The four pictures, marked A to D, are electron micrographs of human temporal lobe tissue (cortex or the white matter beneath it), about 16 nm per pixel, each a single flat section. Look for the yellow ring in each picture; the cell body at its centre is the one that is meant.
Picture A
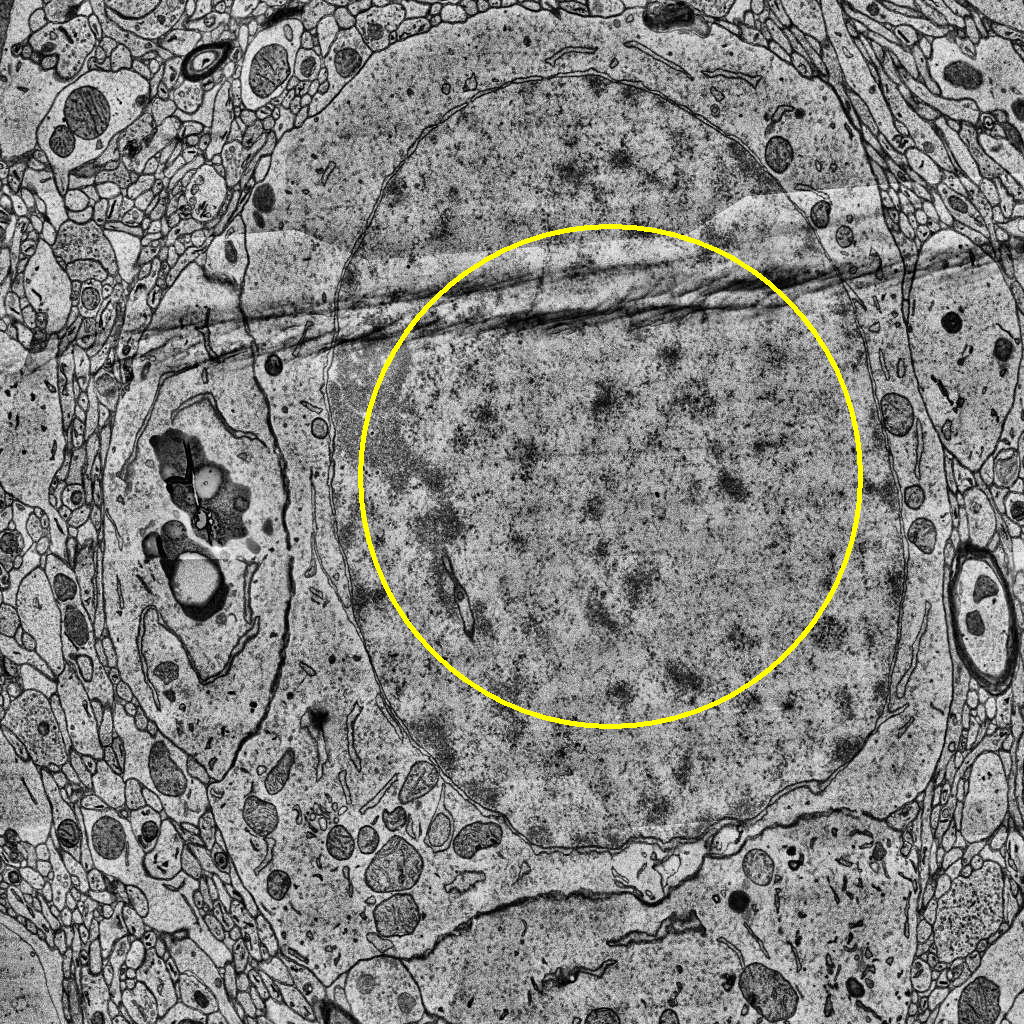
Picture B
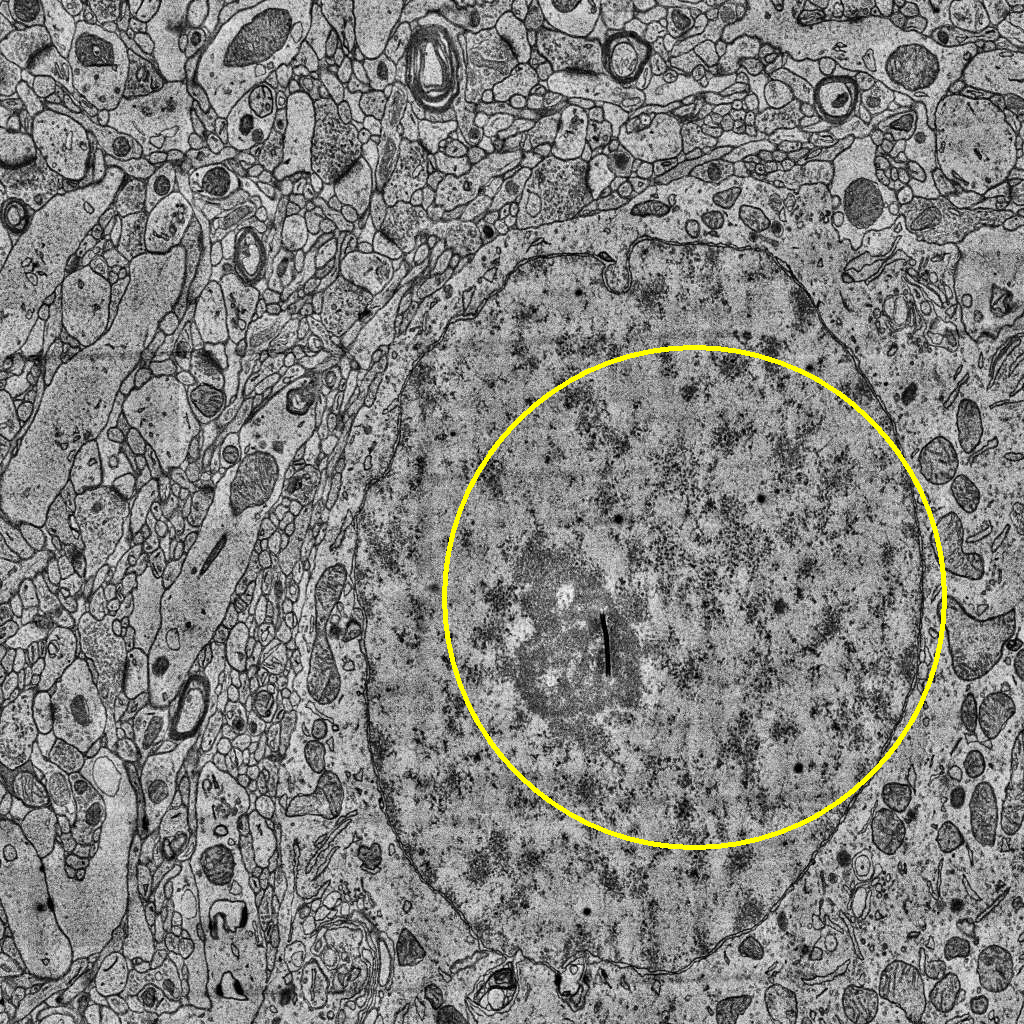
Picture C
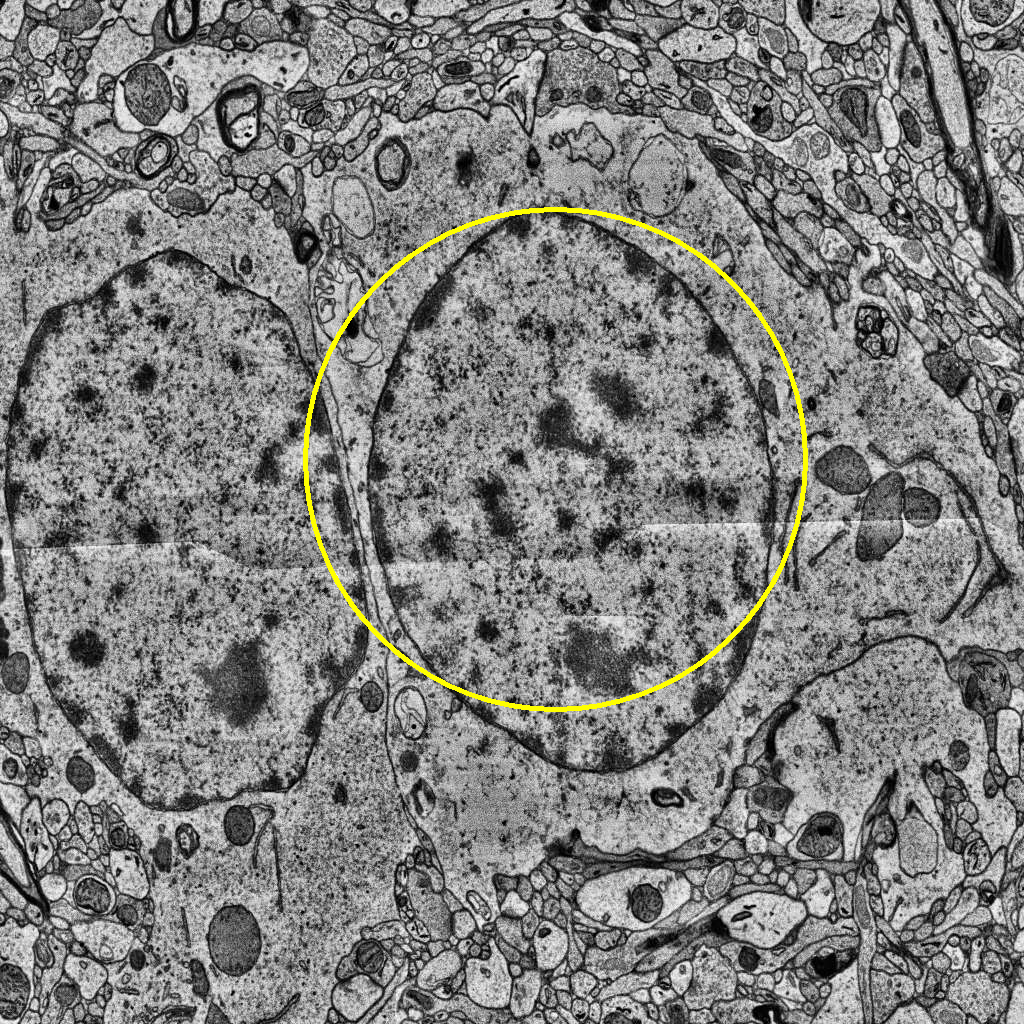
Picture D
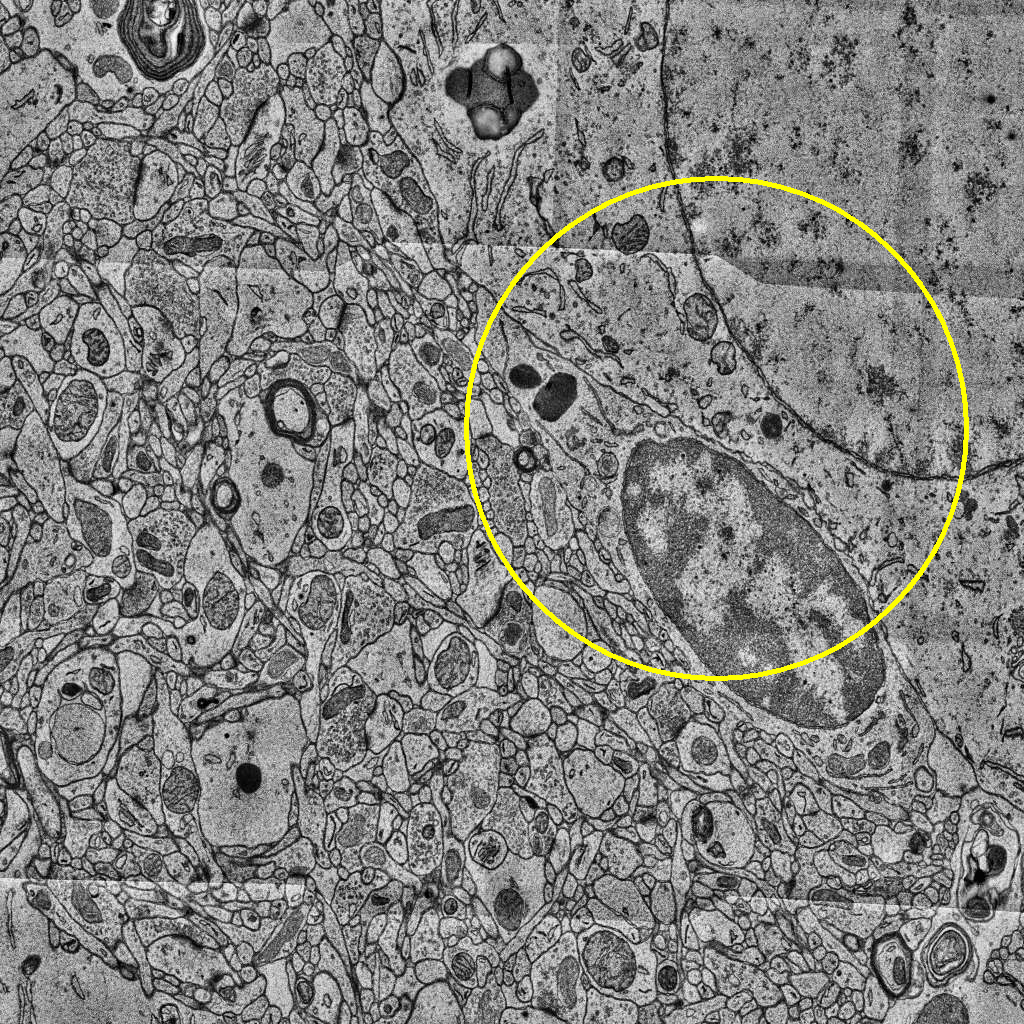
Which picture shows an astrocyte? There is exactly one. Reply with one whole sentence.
Picture C is the one that shows the astrocyte.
